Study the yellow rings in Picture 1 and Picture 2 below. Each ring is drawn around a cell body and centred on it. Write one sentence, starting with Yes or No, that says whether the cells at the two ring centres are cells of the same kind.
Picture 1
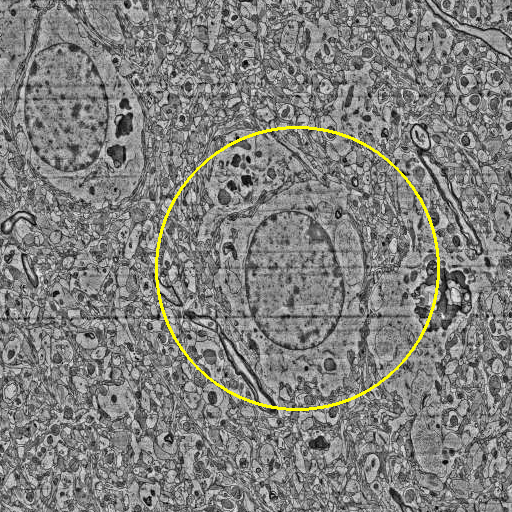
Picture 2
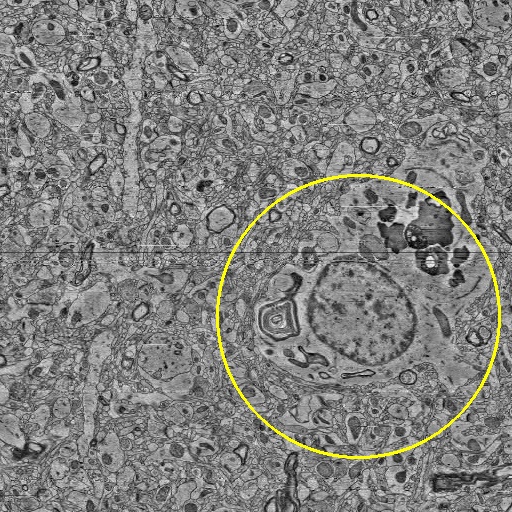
Yes, the cells at both ring centres are of the same kind.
